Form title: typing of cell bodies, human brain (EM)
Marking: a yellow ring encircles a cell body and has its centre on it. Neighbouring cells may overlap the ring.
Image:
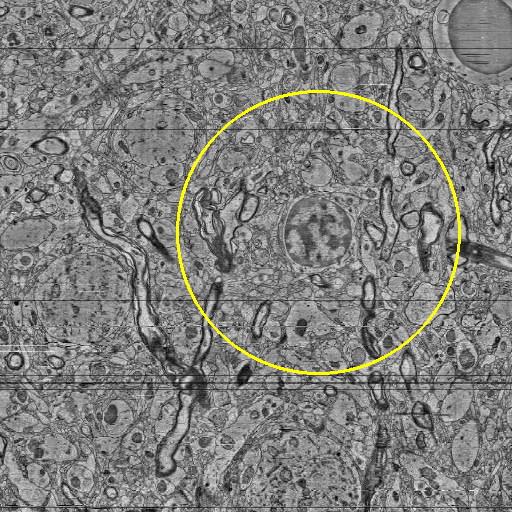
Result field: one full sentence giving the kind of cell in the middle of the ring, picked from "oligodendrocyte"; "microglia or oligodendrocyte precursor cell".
In the picture, the ring is centred on a microglial cell or oligodendrocyte precursor cell, whose cell body it encircles.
